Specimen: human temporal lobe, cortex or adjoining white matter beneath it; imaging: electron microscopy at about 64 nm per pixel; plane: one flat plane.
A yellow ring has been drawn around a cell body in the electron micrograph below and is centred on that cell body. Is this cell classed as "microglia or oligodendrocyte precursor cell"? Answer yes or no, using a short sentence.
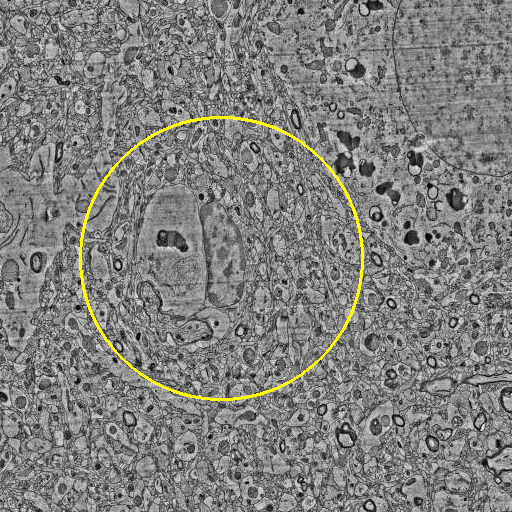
Yes, it is classed as that kind.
